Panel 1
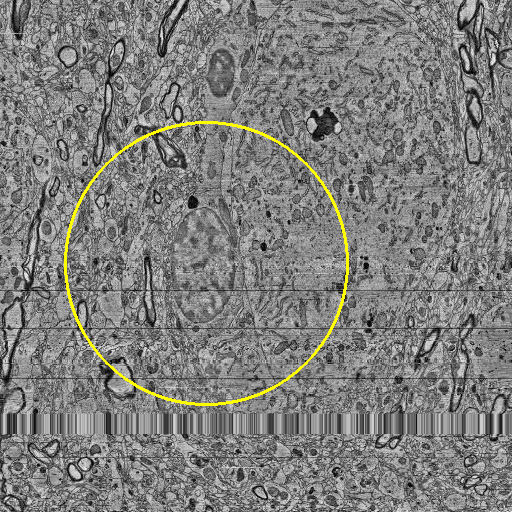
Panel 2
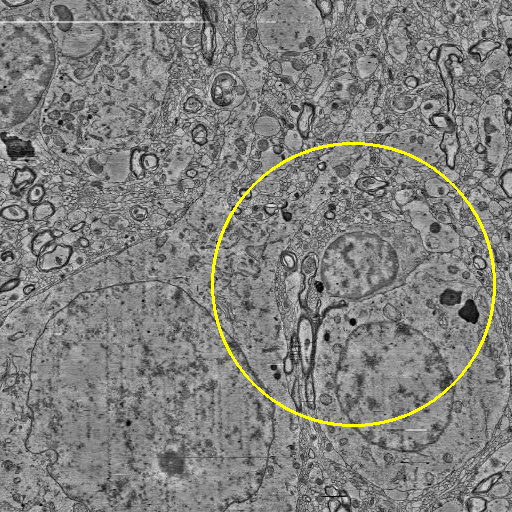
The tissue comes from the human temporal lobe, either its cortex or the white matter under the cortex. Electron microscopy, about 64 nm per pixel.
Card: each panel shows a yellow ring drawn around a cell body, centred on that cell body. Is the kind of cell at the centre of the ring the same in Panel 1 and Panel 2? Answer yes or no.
yes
